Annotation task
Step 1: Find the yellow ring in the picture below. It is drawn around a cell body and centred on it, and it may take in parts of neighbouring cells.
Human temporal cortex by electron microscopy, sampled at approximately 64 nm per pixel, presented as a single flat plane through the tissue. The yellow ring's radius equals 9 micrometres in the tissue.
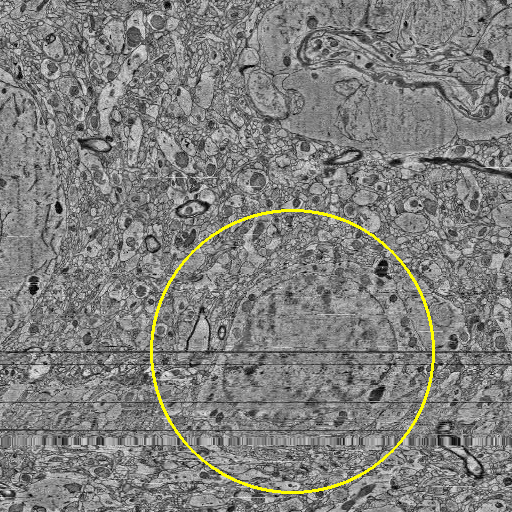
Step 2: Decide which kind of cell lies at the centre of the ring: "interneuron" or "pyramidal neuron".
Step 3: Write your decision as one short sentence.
The kind of cell at the ring's centre is an interneuron.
